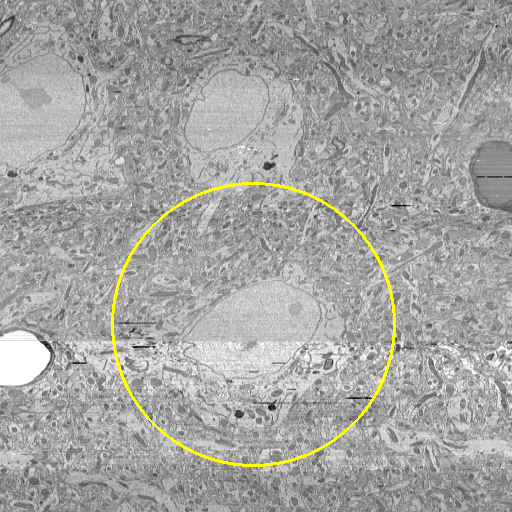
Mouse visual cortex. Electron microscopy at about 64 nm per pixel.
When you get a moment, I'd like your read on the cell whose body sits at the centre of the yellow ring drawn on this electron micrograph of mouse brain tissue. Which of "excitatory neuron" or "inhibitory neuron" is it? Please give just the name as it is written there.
excitatory neuron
